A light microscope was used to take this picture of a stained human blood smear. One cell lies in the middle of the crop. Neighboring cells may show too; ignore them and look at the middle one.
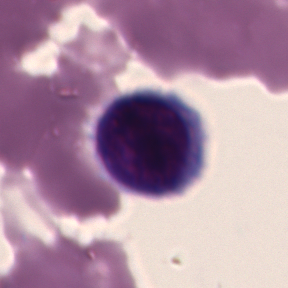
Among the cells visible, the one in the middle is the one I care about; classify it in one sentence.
At the middle of the frame sits a hairy cell.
